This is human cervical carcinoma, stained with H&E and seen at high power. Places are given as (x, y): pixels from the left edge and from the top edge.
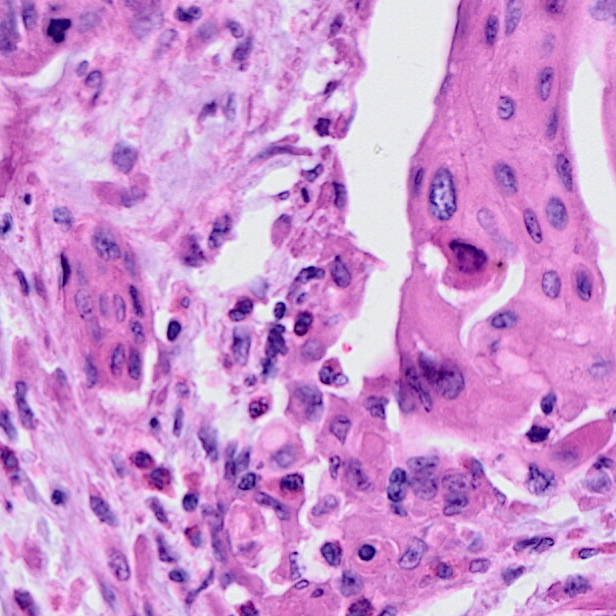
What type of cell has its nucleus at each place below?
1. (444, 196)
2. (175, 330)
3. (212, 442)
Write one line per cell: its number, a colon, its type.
1: squamous carcinoma cell
2: lymphocyte
3: fibroblast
